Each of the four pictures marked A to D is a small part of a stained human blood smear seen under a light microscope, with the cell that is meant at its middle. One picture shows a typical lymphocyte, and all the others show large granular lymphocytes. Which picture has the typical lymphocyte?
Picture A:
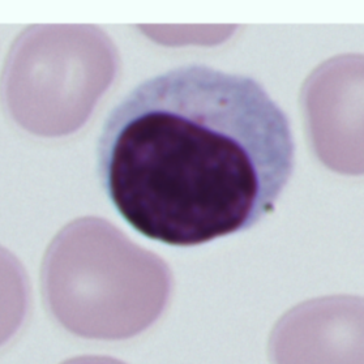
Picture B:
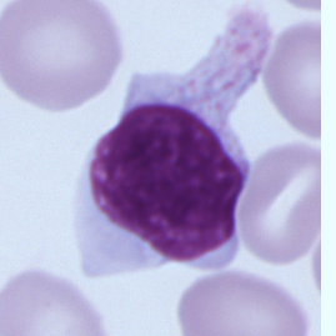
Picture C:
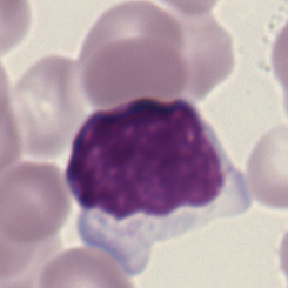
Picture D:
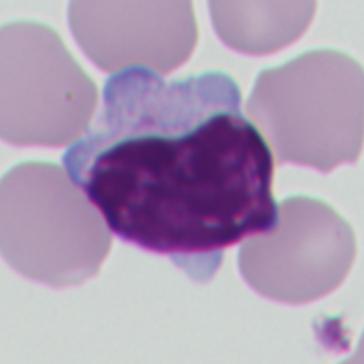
D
